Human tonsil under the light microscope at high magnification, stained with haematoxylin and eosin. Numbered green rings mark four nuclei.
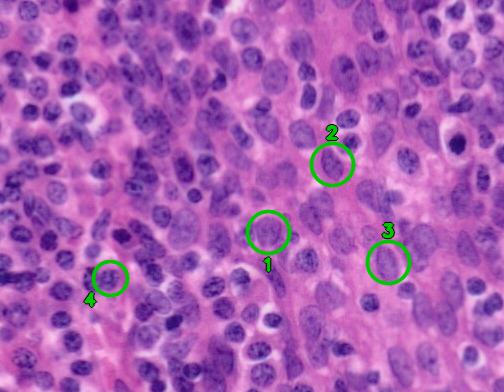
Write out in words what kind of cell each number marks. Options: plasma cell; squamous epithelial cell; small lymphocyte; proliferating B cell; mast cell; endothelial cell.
Cells 1, 2 and 3 are squamous epithelial cells. Cell 4 is a plasma cell.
